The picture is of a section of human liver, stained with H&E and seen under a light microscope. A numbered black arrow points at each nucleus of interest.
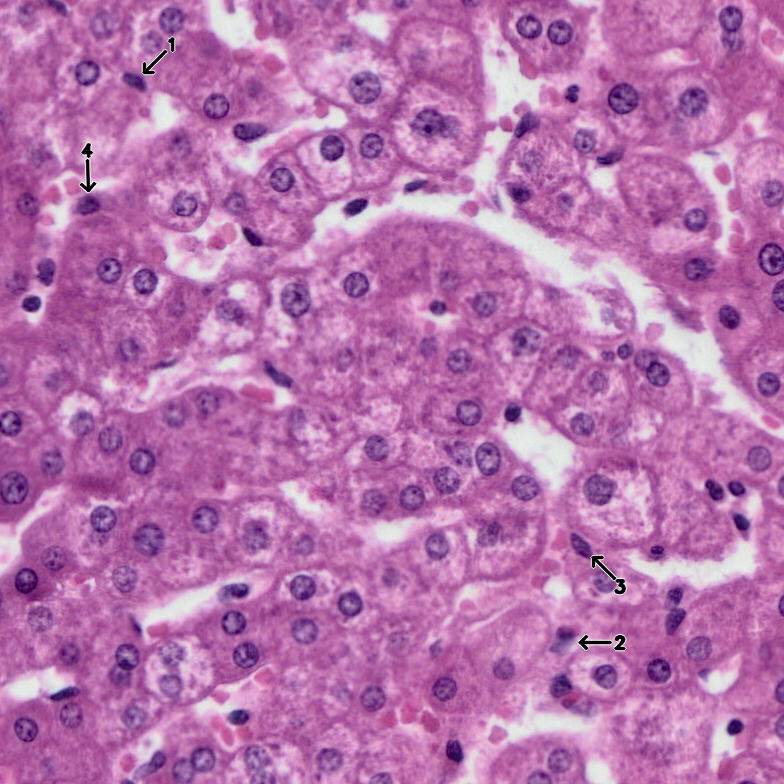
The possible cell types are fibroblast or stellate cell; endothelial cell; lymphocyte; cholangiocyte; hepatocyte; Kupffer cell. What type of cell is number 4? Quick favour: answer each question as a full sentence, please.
That cell with number 4 is a Kupffer cell.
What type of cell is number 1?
Regarding cell 1, this one is a fibroblast or stellate cell.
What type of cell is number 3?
That cell with number 3 is a fibroblast or stellate cell.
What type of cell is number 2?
The cell that carries the label 2 is an endothelial cell.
